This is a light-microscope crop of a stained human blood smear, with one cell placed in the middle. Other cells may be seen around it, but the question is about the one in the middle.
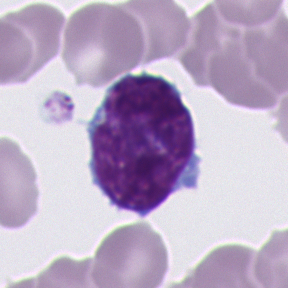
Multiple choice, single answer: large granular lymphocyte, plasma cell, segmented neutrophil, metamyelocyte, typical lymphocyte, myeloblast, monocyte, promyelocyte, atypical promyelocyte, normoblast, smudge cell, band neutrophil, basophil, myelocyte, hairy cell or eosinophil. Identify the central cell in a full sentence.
The cell at the middle of the frame should be recorded as a typical lymphocyte.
